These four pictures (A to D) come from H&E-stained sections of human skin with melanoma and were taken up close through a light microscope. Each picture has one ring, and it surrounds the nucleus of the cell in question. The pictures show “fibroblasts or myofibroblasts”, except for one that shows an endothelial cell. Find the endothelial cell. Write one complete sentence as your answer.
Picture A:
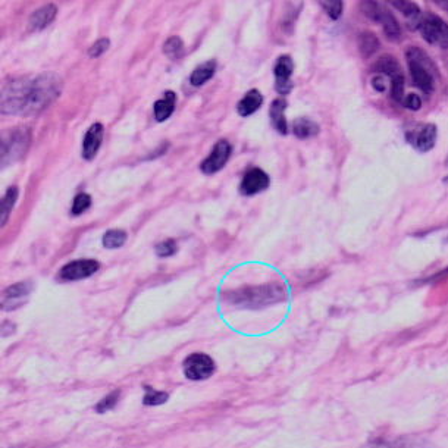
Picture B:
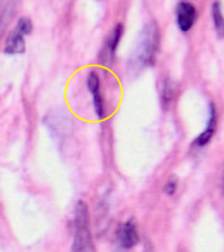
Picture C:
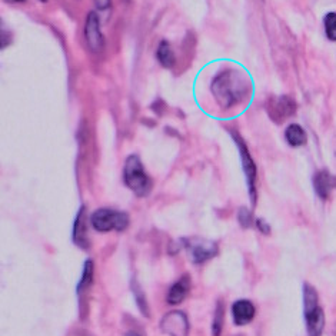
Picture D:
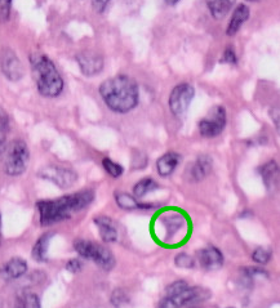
Picture D shows the endothelial cell.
